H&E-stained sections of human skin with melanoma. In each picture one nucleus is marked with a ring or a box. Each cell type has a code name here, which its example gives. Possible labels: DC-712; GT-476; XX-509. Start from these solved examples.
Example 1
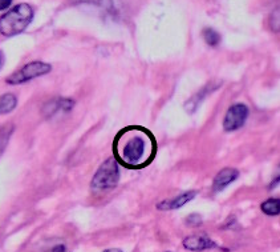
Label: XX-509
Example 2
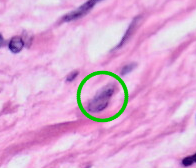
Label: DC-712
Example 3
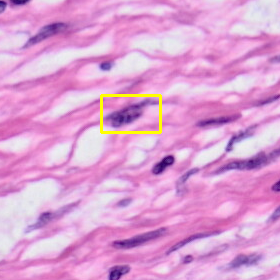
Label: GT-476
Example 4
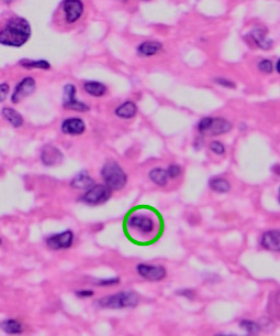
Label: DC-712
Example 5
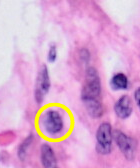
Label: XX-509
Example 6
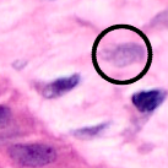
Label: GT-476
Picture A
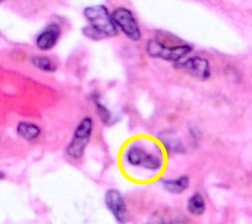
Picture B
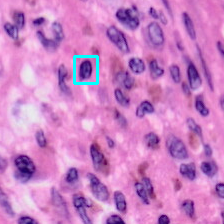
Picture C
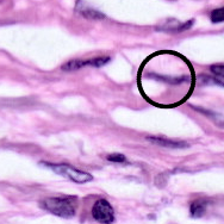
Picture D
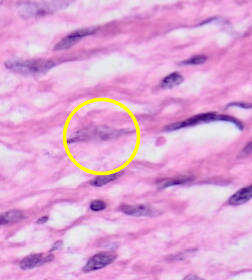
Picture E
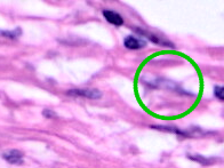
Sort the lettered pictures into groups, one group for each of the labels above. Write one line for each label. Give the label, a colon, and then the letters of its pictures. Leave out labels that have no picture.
DC-712: A
GT-476: C, D, E
XX-509: B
